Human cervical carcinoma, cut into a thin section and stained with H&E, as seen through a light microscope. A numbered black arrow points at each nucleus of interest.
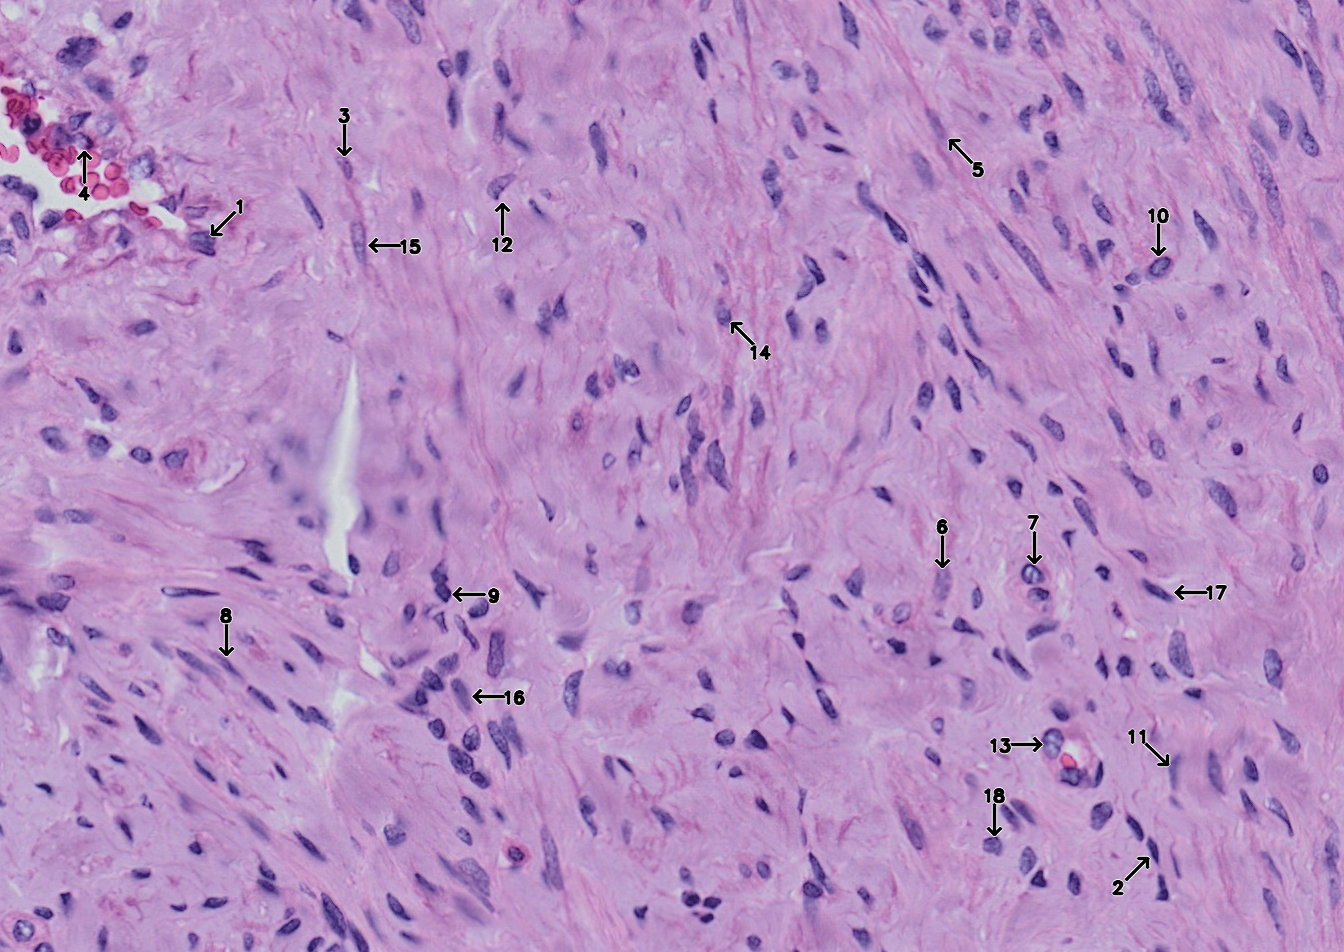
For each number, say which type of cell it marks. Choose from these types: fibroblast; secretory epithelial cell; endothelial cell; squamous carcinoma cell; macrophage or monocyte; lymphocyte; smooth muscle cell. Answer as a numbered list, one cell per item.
1. endothelial cell
2. fibroblast
3. smooth muscle cell
4. endothelial cell
5. smooth muscle cell
6. smooth muscle cell
7. endothelial cell
8. smooth muscle cell
9. lymphocyte
10. smooth muscle cell
11. fibroblast
12. fibroblast
13. endothelial cell
14. smooth muscle cell
15. smooth muscle cell
16. fibroblast
17. fibroblast
18. fibroblast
